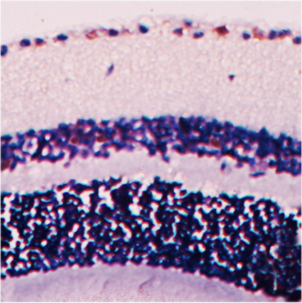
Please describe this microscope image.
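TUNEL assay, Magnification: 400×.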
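The retina is shown in cross-section with a sparse row of small nuclei at the inner edge, a broad pale fibrous layer, a band of several rows of nuclei and a thick band of densely packed dark blue nuclei. The nuclei of the inner row are mostly blue.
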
